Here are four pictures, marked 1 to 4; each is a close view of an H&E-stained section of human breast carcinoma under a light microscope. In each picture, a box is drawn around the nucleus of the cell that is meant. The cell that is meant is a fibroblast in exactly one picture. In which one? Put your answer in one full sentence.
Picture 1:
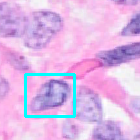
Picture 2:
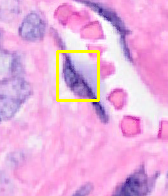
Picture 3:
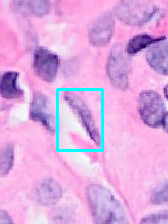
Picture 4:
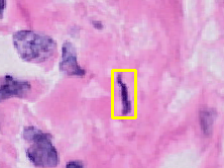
It is picture 4 that shows the fibroblast.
